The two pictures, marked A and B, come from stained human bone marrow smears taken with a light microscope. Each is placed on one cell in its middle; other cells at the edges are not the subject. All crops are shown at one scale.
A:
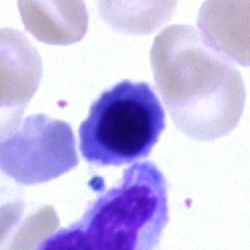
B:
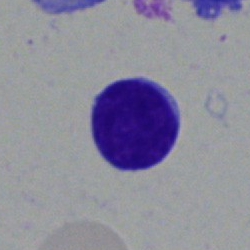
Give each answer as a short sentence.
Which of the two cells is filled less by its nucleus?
In picture A the nucleus takes up the smaller part of its cell.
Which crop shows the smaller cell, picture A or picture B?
Smaller is the cell in picture A, and the other is about 1.5 times as large in area.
